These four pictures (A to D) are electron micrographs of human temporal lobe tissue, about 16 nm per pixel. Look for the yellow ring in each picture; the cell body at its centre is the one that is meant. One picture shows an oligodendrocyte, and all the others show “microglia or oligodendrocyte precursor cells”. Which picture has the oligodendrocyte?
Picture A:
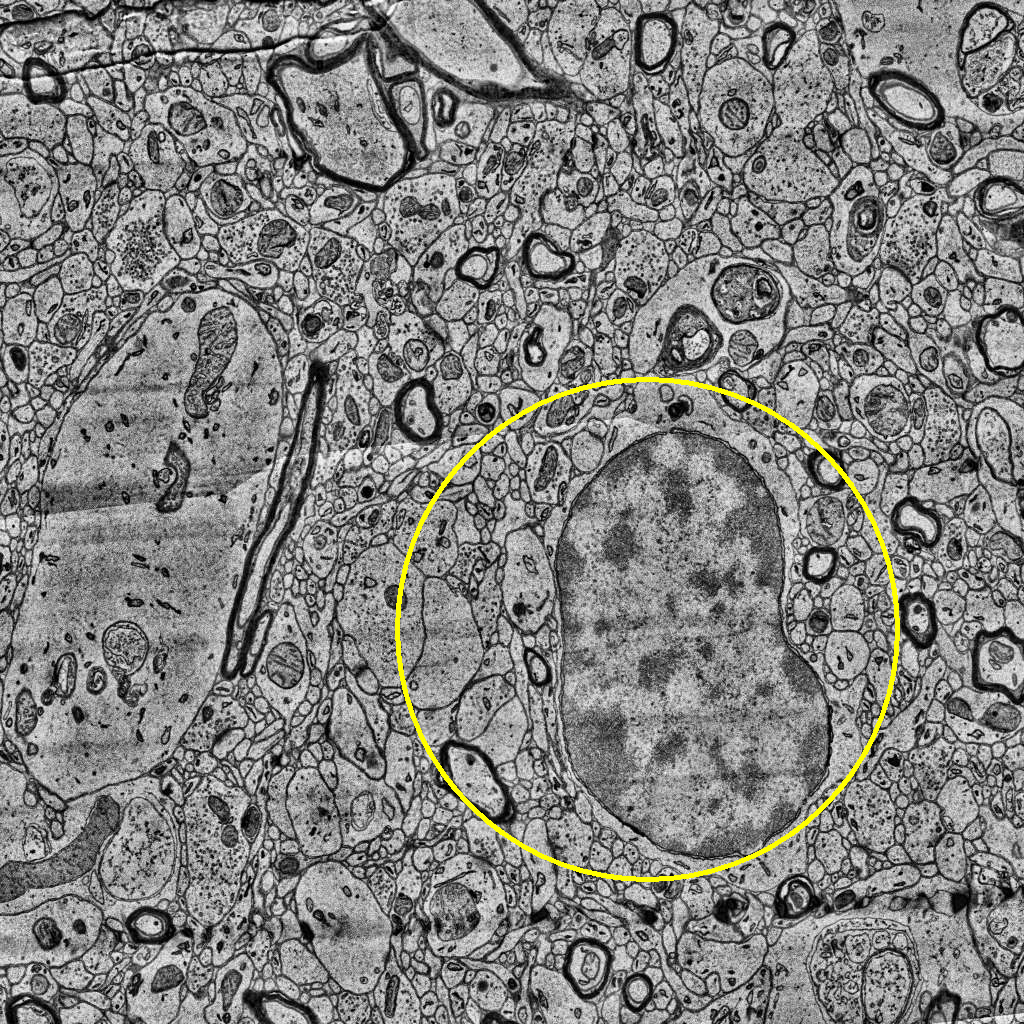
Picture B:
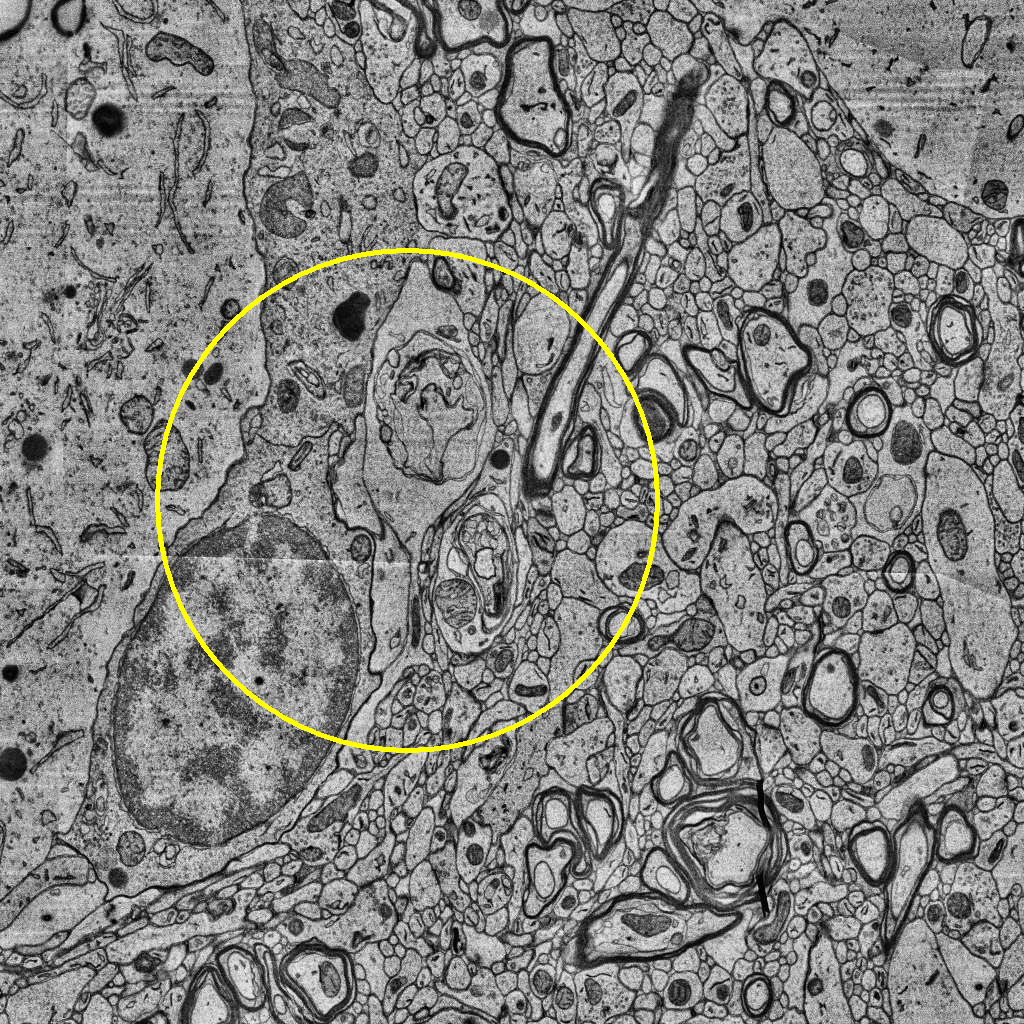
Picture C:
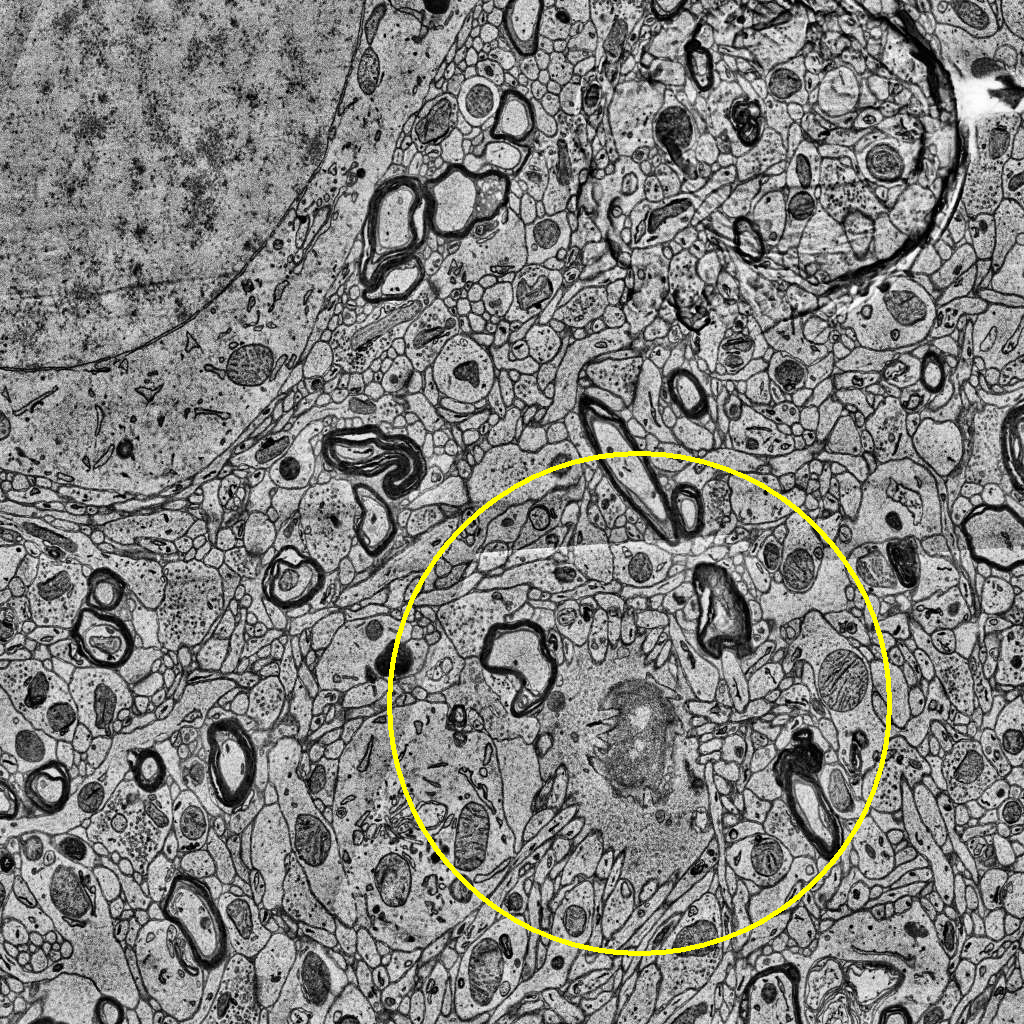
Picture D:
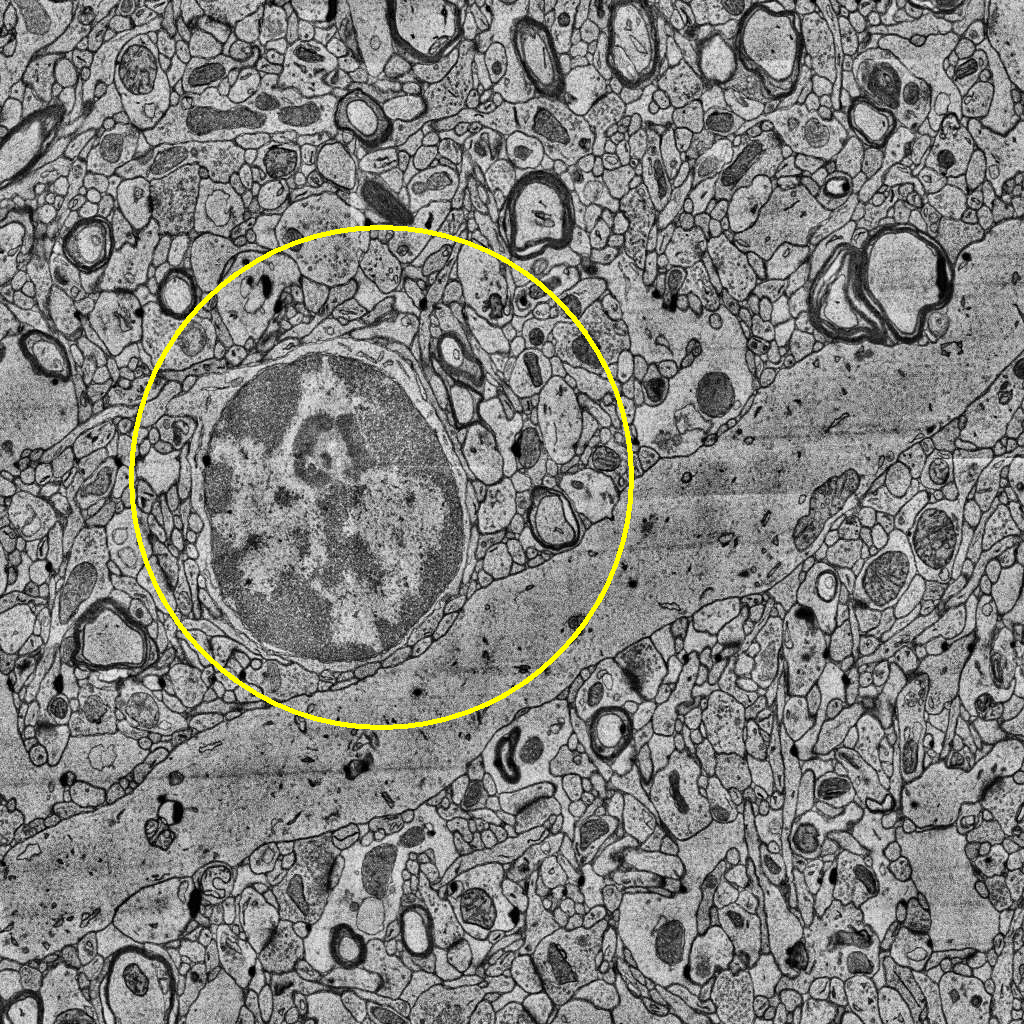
The cell in picture C is the oligodendrocyte.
